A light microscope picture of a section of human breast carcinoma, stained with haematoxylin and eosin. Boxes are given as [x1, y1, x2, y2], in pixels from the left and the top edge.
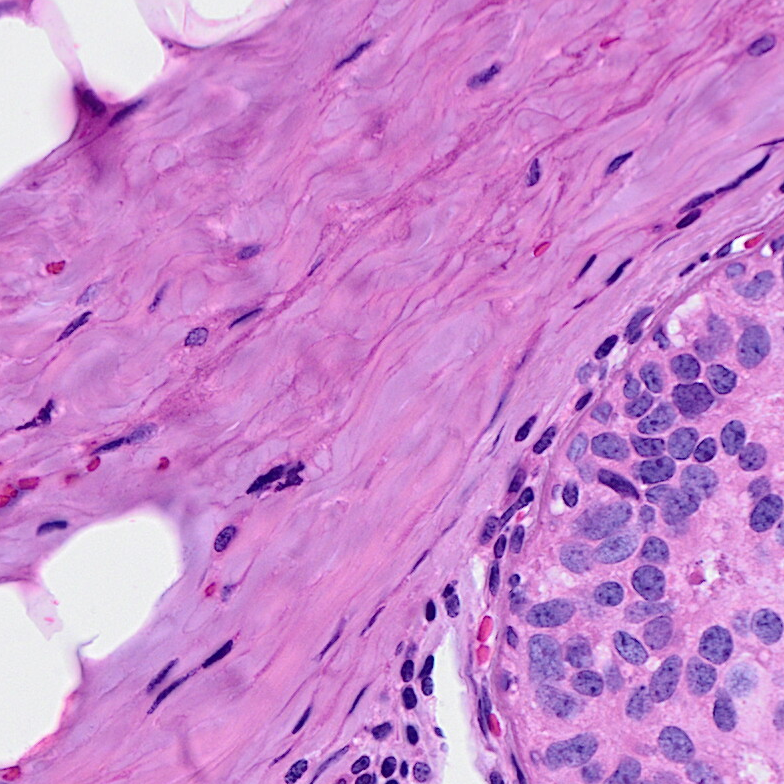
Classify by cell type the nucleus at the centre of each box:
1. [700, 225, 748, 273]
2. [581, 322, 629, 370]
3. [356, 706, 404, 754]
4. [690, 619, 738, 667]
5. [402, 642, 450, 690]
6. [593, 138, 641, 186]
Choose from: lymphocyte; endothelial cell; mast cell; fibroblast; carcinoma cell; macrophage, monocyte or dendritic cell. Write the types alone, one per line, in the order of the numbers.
endothelial cell
lymphocyte
lymphocyte
carcinoma cell
lymphocyte
fibroblast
